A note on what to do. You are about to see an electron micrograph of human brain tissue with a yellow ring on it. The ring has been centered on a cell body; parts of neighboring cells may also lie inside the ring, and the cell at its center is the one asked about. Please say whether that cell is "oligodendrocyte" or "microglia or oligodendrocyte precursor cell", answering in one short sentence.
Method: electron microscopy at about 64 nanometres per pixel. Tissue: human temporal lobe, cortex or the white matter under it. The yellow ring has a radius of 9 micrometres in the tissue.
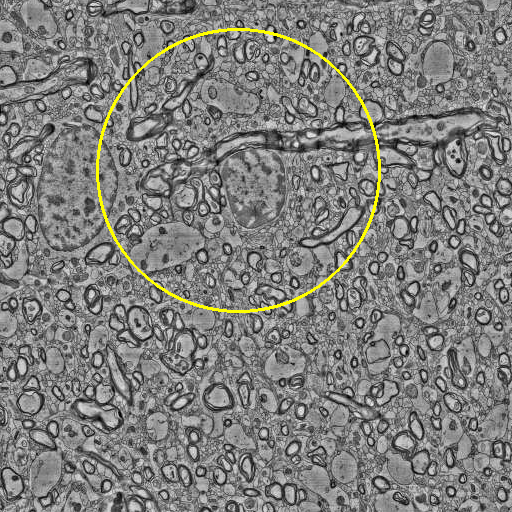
The yellow ring sits on a microglial cell or oligodendrocyte precursor cell.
